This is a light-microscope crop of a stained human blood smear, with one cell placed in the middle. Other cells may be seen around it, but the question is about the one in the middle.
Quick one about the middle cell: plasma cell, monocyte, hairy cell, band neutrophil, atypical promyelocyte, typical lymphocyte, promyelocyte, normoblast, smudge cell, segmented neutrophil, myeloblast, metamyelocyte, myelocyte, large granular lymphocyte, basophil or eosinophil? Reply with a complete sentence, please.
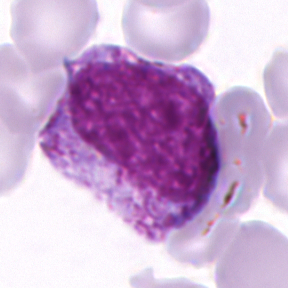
This particular crop is centered on a promyelocyte.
